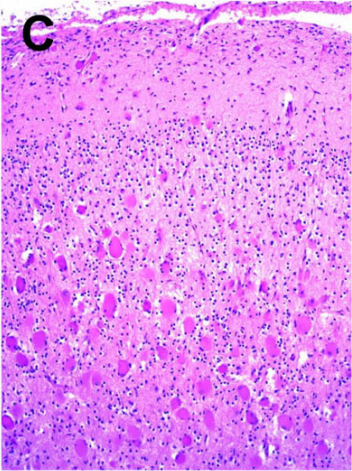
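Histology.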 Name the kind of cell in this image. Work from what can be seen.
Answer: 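Many large, round cells with glassy pink cytoplasm are scattered in the deeper tissue. These large cells are much bigger than the surrounding small dark nuclei. On this evidence: balloon cells.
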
